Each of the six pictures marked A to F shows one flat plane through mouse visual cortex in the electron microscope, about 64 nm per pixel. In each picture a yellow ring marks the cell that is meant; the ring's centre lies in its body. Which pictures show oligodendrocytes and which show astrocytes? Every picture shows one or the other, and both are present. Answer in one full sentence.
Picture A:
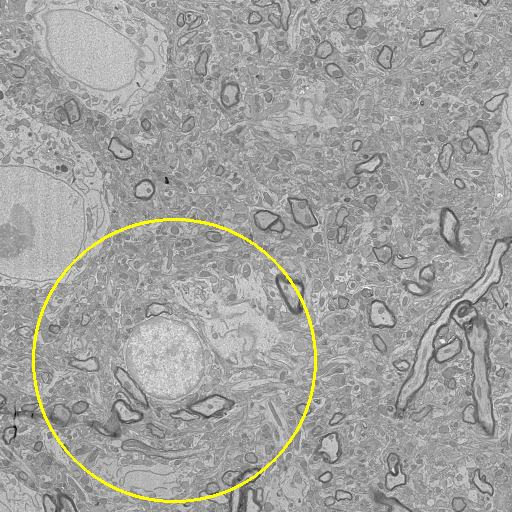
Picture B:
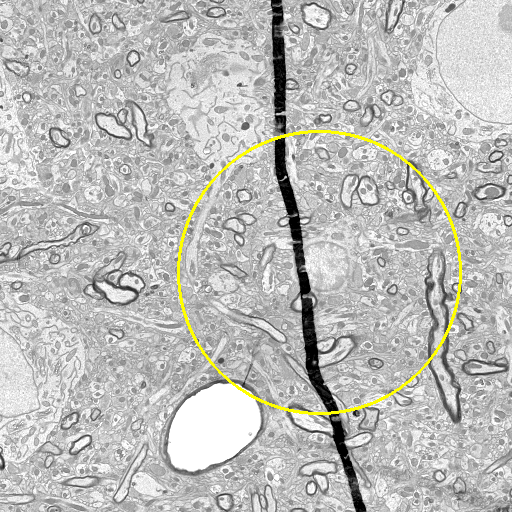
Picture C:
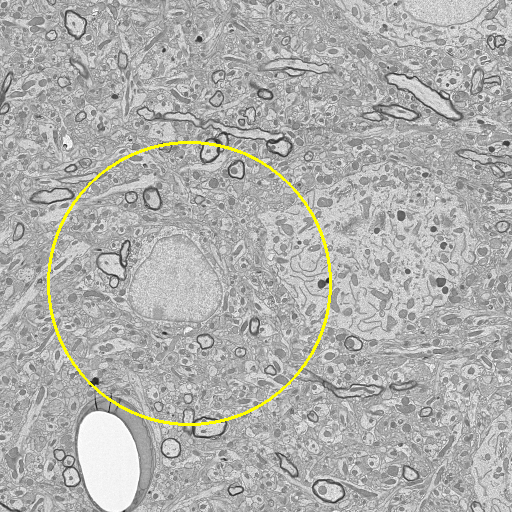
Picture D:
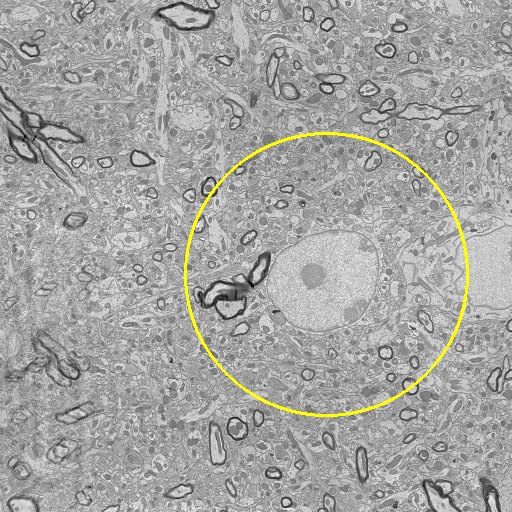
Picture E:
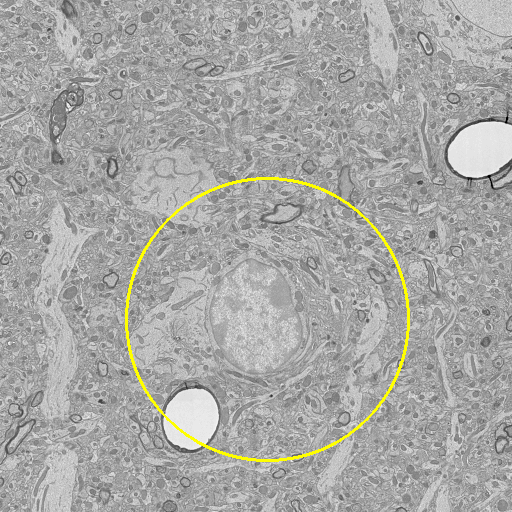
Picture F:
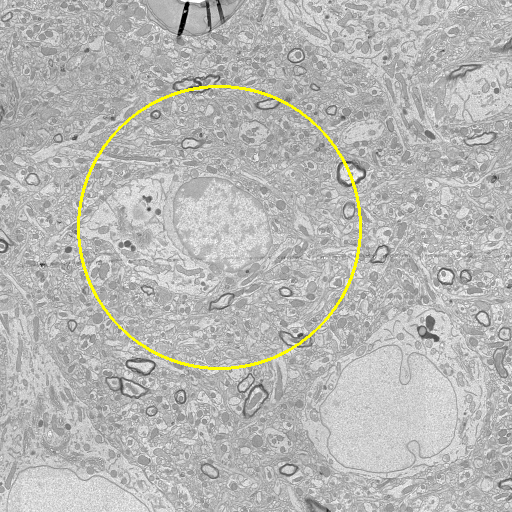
Pictures A, B, E and F show oligodendrocytes; pictures C and D show astrocytes.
